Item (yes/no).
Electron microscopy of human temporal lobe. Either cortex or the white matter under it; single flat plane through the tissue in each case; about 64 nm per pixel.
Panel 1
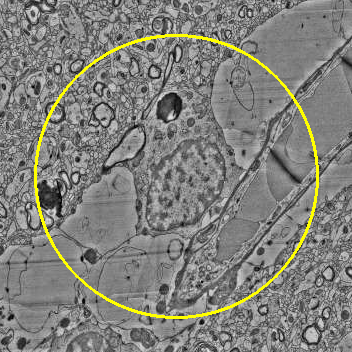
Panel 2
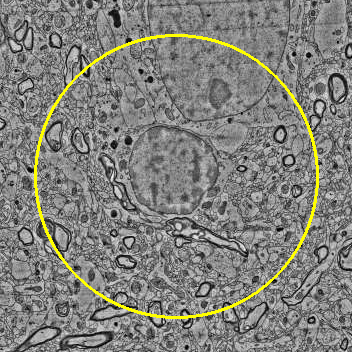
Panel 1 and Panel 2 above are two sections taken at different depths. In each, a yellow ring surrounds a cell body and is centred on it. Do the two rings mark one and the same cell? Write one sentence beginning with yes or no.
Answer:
No, the two yellow rings each circle a different cell.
